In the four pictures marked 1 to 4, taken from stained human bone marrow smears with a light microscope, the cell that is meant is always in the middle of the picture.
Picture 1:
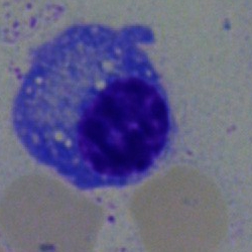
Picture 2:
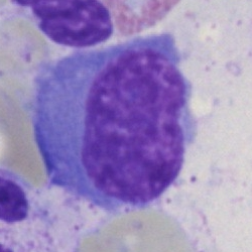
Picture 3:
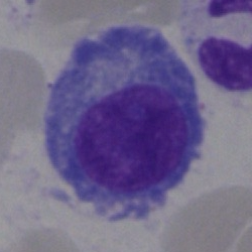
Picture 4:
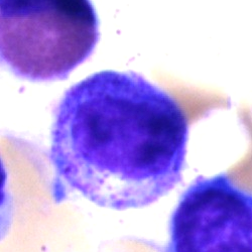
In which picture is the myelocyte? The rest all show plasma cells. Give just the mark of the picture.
4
